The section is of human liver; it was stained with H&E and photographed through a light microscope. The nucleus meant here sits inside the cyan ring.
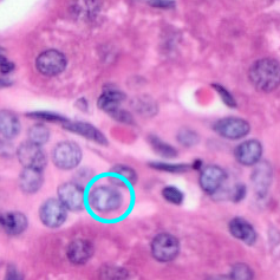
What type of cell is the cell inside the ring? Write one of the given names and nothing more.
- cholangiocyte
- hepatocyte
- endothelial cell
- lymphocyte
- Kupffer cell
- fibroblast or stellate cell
cholangiocyte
